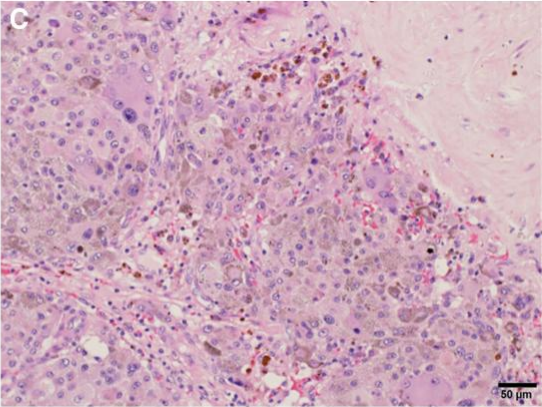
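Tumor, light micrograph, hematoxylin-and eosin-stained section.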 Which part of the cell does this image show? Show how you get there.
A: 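A wide cytoplasm that was granular in appearance. The tumor cells have broad cytoplasm around their nuclei. The cytoplasm looks finely granular rather than clear. The cytoplasm takes a mixed pink-purple tint.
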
